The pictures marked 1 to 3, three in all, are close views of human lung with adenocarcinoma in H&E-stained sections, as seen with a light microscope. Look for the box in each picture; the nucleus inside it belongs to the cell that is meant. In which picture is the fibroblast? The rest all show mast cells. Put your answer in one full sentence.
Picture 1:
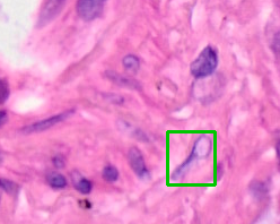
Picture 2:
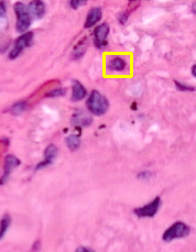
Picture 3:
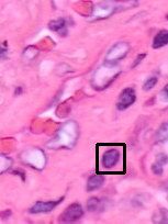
The picture with the fibroblast is 1.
